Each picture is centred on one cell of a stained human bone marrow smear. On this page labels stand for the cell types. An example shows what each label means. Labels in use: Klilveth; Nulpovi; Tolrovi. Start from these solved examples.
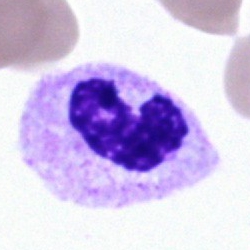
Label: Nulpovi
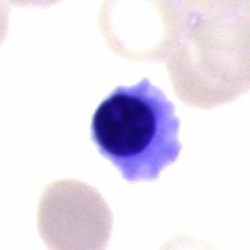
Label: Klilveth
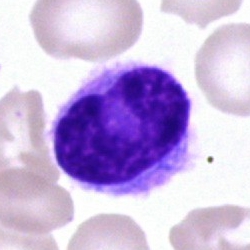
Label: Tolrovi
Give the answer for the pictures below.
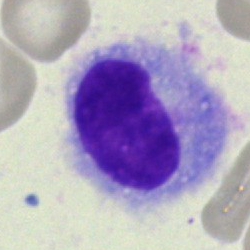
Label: Tolrovi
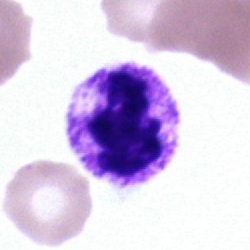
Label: Nulpovi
